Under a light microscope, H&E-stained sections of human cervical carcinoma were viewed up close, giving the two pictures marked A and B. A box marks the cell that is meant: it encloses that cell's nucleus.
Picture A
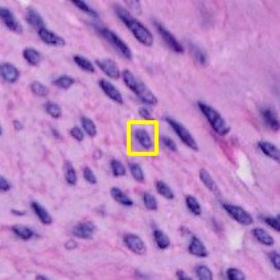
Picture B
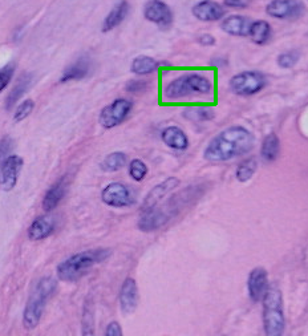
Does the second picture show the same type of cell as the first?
yes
